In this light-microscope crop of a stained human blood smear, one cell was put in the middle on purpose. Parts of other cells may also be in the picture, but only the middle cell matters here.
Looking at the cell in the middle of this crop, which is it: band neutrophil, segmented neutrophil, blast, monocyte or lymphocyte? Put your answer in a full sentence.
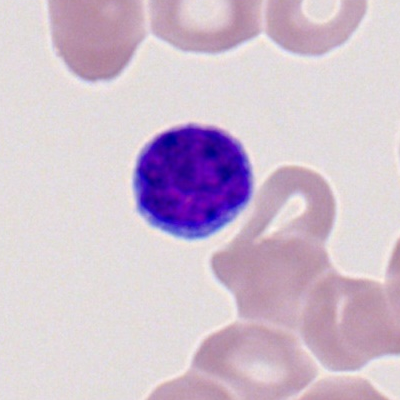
The cell shown in the center of this light-microscope crop is a lymphocyte.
